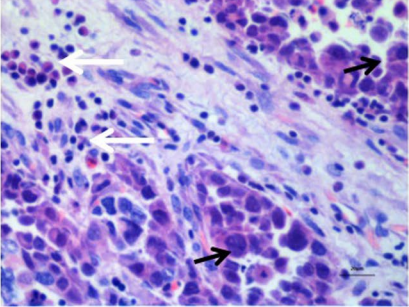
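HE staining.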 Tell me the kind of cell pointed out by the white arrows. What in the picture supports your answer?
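The marked cells are small with dense, dark round nuclei and scant cytoplasm. They lie scattered in the pale fibrous stroma between nests of larger cells. So: inflammatory cells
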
